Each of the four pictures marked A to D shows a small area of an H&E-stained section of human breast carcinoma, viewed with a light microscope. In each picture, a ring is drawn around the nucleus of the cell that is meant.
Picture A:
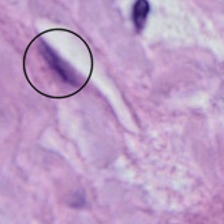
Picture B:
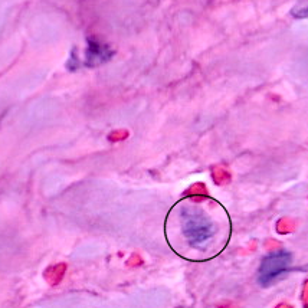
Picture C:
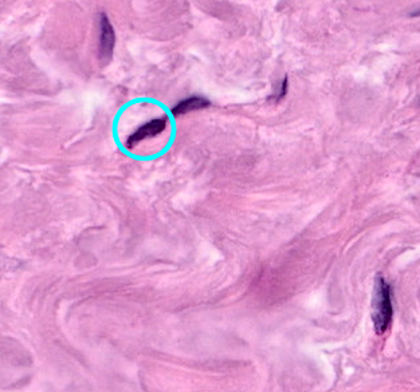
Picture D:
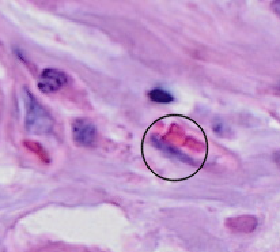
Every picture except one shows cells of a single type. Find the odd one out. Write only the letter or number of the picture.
D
